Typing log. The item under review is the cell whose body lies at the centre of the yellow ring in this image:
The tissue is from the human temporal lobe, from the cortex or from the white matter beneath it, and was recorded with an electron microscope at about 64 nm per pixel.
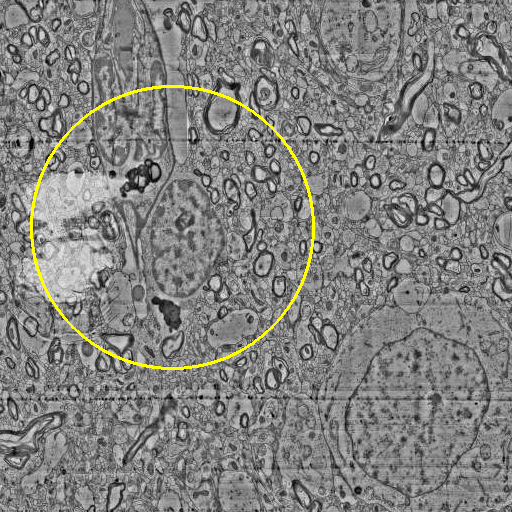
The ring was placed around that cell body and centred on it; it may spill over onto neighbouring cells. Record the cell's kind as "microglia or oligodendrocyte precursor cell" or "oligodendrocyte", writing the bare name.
oligodendrocyte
